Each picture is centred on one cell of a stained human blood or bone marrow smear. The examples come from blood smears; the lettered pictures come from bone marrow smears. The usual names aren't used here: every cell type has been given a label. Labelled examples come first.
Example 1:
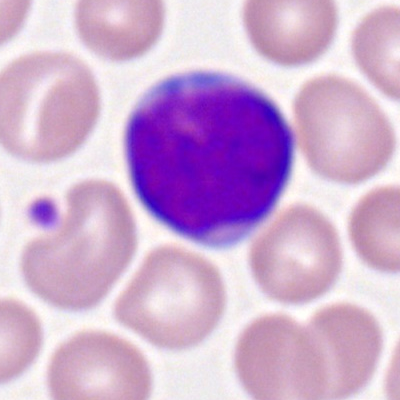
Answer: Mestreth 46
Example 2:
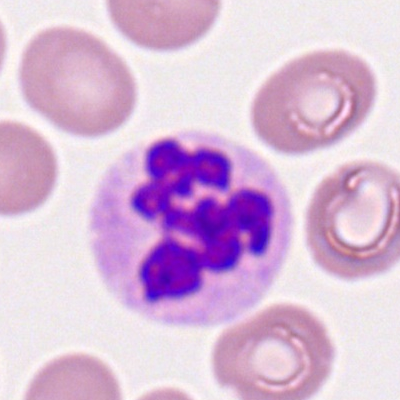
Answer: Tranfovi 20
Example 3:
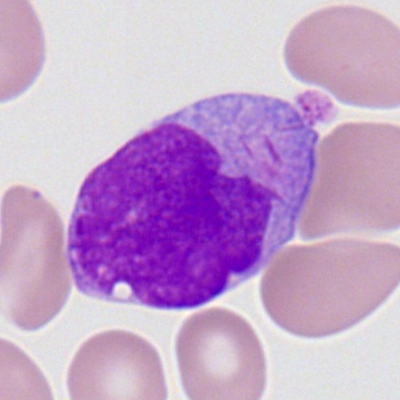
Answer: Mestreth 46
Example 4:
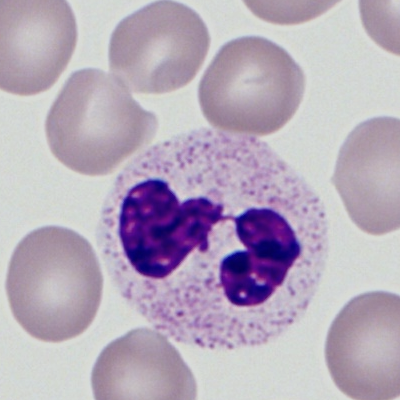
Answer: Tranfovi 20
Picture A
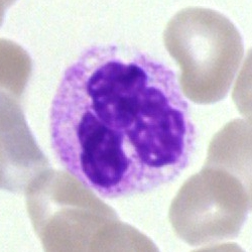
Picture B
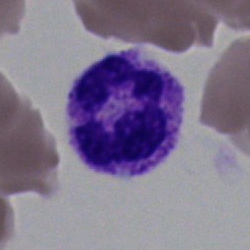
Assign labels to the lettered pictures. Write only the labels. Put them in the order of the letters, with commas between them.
Tranfovi 20, Tranfovi 20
